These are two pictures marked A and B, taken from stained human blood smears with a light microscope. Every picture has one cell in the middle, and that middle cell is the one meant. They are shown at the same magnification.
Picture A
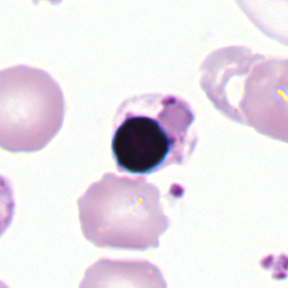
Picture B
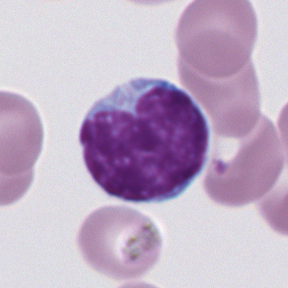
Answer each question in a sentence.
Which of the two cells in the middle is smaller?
Picture A holds the smaller cell, since the cell in picture B covers about 3 times as much area.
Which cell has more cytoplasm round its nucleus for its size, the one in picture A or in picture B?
Of the two, the nucleus in picture A leaves more room for cytoplasm.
